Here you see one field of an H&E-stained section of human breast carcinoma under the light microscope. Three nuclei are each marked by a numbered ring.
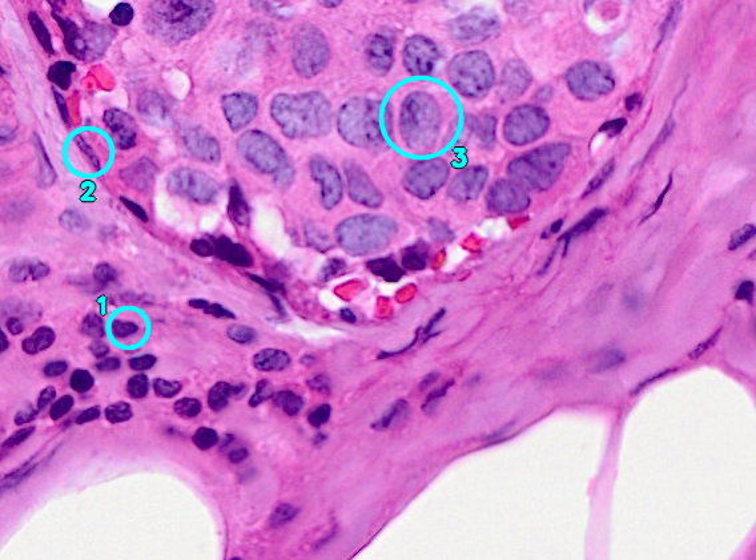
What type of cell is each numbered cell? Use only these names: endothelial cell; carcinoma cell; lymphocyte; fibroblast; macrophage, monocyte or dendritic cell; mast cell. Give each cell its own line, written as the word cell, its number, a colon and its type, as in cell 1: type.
cell 1: lymphocyte
cell 2: endothelial cell
cell 3: carcinoma cell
